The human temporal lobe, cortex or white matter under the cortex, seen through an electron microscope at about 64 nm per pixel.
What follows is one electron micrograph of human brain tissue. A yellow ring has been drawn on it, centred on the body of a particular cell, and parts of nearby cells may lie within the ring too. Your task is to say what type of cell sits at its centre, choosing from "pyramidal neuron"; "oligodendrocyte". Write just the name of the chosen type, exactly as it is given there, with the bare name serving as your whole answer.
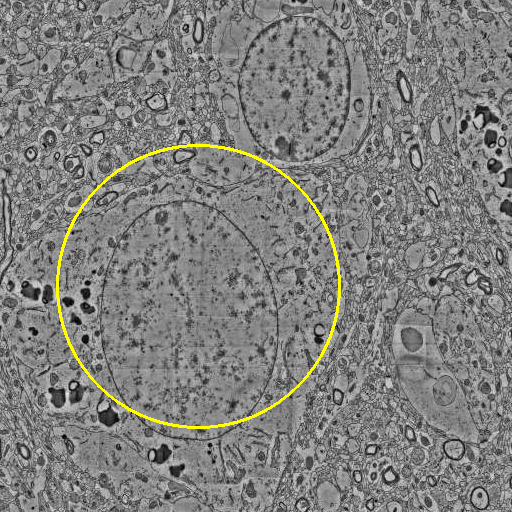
pyramidal neuron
